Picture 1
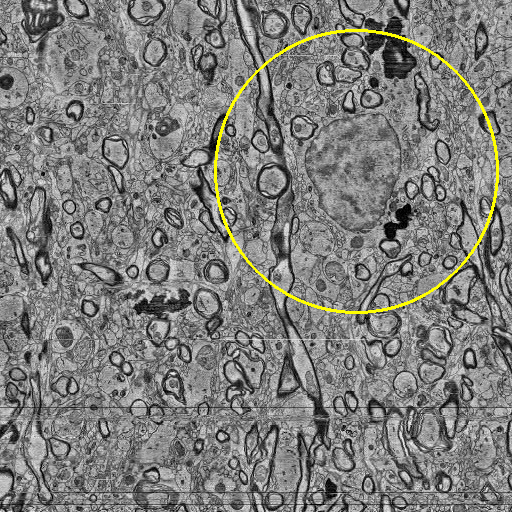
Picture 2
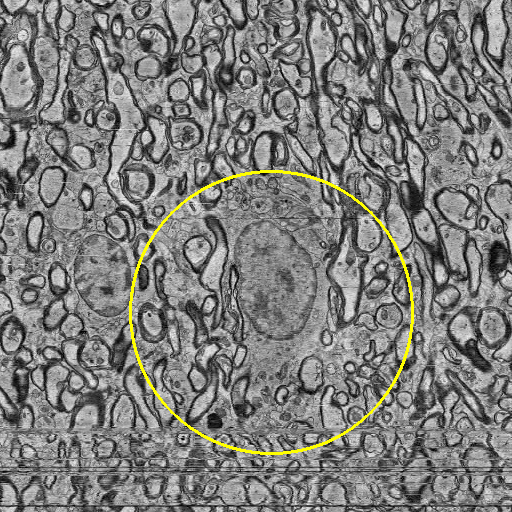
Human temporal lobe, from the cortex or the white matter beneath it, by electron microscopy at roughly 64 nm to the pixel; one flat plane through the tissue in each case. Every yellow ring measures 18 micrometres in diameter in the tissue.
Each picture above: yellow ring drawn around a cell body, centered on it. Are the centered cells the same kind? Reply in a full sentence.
Yes, the two cells are the same kind.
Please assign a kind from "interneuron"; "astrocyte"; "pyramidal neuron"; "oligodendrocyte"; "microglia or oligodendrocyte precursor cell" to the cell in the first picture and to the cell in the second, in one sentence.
Each cell, in the first picture and the second, is an oligodendrocyte.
